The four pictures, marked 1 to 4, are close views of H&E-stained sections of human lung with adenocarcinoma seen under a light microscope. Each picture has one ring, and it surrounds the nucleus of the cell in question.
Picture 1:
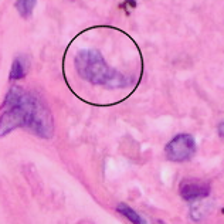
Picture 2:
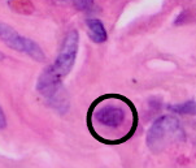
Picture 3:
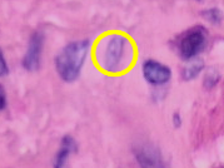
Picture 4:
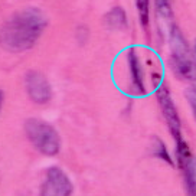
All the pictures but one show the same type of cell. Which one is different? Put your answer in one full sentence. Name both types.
Picture 2 differs, because its cell is a plasma cell and the rest are fibroblasts.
